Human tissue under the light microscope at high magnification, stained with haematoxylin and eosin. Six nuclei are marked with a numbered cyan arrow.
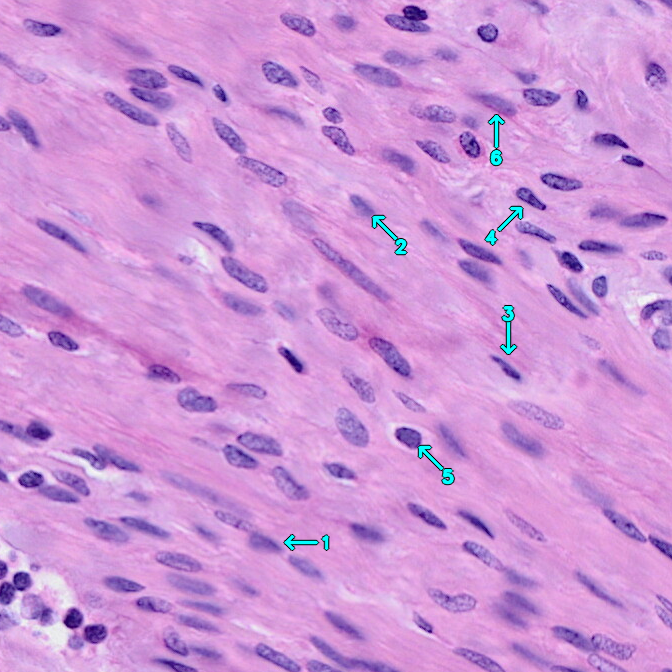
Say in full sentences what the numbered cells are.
Cell 1 is a fibroblast, cell 2 is a fibroblast, cell 3 is a fibroblast, cell 4 is a fibroblast, cell 5 is a lymphocyte and cell 6 is a smooth muscle cell.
